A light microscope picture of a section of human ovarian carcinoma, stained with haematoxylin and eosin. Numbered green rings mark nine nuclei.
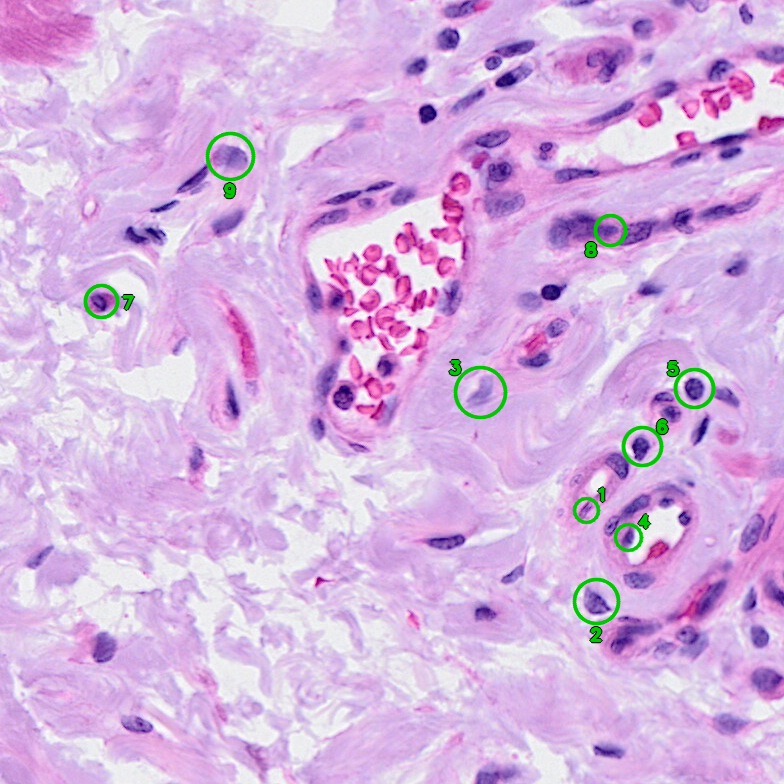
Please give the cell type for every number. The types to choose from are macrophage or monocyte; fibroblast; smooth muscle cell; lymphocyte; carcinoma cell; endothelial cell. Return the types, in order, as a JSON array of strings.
["endothelial cell", "fibroblast", "fibroblast", "endothelial cell", "lymphocyte", "lymphocyte", "macrophage or monocyte", "endothelial cell", "fibroblast"]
